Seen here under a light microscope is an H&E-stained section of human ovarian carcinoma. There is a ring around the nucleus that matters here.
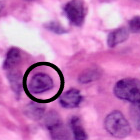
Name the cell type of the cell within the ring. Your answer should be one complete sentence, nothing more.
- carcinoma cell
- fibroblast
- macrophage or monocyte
Labelled by cell type, the cell within the ring is a macrophage or monocyte.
